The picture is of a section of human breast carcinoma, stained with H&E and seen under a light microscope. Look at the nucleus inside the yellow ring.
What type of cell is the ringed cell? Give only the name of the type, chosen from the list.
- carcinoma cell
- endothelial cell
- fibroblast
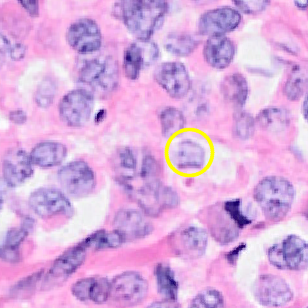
carcinoma cell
